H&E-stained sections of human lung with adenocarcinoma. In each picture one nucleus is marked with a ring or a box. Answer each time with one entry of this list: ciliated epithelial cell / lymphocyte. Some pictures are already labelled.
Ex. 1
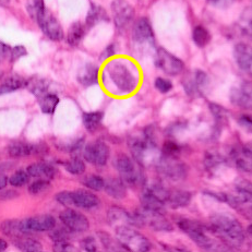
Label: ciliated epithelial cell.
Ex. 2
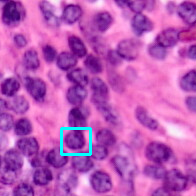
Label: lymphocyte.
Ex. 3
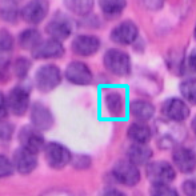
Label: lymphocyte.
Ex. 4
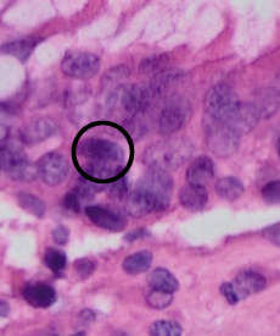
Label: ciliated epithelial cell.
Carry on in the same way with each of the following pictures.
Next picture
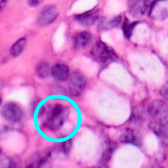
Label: ciliated epithelial cell.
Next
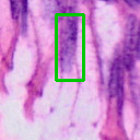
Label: ciliated epithelial cell.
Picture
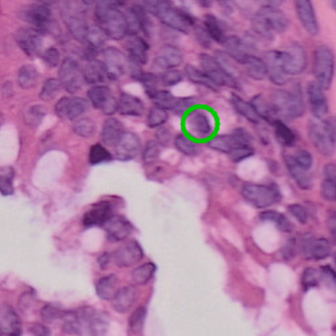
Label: ciliated epithelial cell.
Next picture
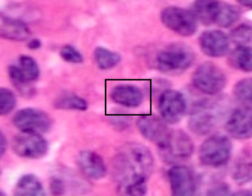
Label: lymphocyte.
